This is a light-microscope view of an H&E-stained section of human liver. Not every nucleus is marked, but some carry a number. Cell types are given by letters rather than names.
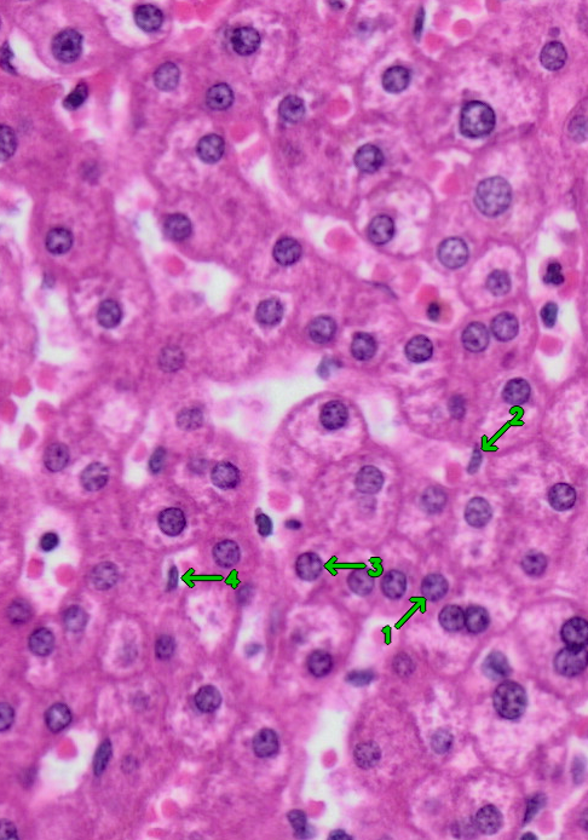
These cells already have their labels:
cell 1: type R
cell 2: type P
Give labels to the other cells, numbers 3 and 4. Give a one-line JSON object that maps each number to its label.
{"3": "type R", "4": "type P"}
